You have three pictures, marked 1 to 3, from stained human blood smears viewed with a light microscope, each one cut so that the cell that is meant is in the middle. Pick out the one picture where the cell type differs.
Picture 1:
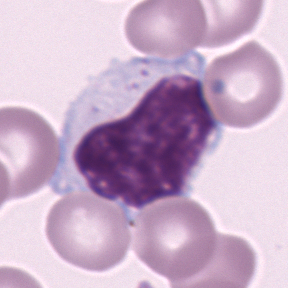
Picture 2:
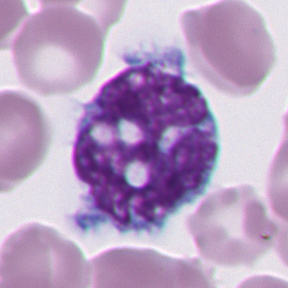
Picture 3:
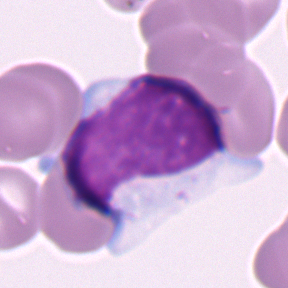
2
